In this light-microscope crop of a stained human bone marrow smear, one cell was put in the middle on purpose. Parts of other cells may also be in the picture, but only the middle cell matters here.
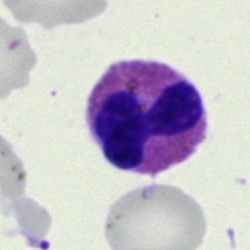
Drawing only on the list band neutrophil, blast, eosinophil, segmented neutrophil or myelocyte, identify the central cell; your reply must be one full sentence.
What the crop centres on is an eosinophil.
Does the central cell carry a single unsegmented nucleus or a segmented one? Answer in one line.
The nucleus is divided into two or more distinct lobes.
